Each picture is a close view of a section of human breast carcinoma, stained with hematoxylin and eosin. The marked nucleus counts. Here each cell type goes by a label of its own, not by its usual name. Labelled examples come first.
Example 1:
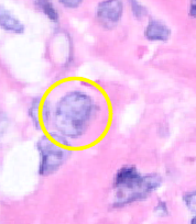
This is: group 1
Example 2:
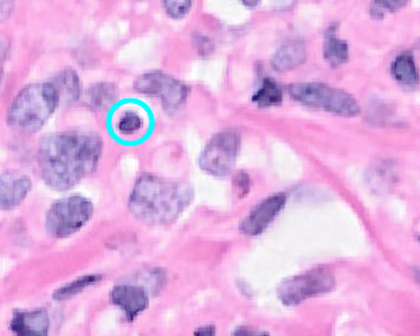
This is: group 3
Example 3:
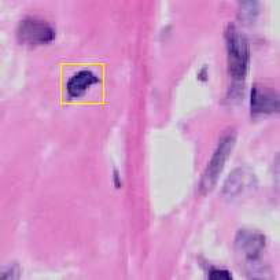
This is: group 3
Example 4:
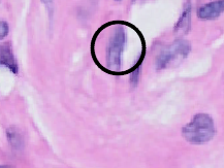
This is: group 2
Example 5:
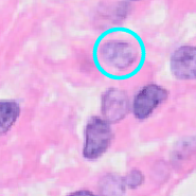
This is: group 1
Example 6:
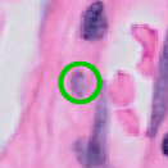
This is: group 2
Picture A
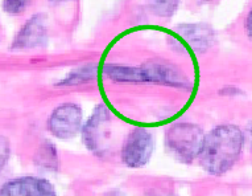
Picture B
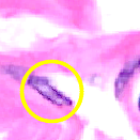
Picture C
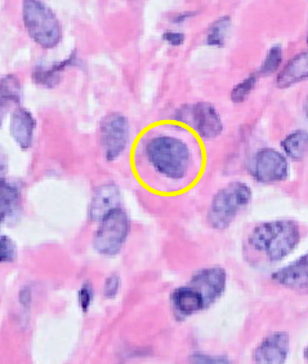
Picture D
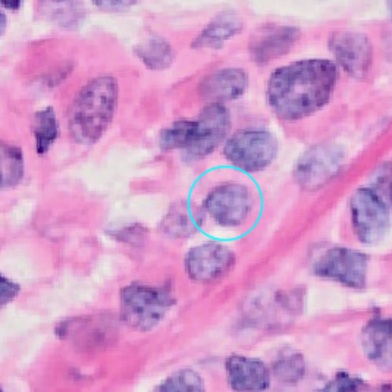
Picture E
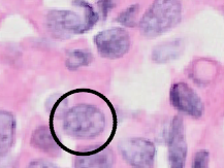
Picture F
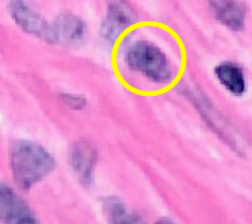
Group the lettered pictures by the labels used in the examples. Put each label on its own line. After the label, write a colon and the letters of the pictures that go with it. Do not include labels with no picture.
group 1: C, D, E
group 3: F
group 2: A, B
